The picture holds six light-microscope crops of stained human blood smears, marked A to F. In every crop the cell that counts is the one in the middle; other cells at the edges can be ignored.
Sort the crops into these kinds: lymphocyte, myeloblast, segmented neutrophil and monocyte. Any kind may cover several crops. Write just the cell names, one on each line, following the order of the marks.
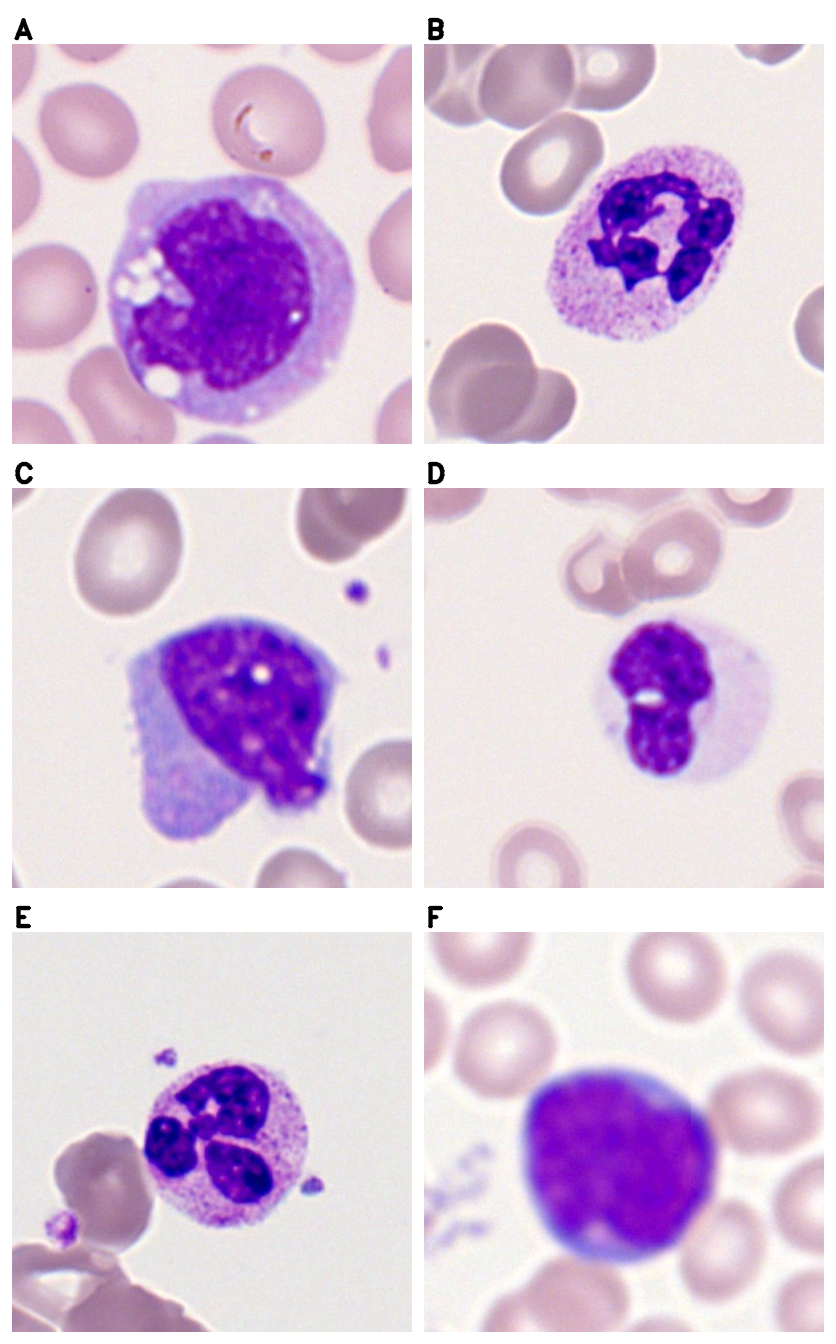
monocyte
segmented neutrophil
monocyte
segmented neutrophil
segmented neutrophil
myeloblast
